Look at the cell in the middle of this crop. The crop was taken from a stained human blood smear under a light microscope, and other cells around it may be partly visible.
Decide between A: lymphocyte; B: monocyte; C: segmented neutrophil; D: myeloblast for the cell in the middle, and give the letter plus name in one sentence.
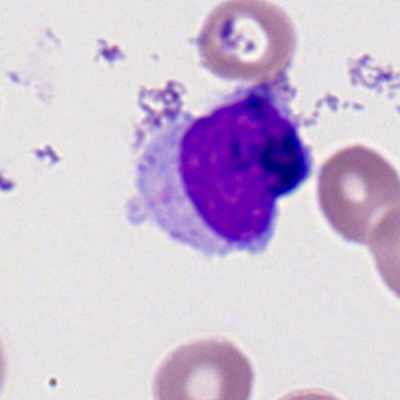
Identification: the cell in the middle is a lymphocyte, matching option A.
